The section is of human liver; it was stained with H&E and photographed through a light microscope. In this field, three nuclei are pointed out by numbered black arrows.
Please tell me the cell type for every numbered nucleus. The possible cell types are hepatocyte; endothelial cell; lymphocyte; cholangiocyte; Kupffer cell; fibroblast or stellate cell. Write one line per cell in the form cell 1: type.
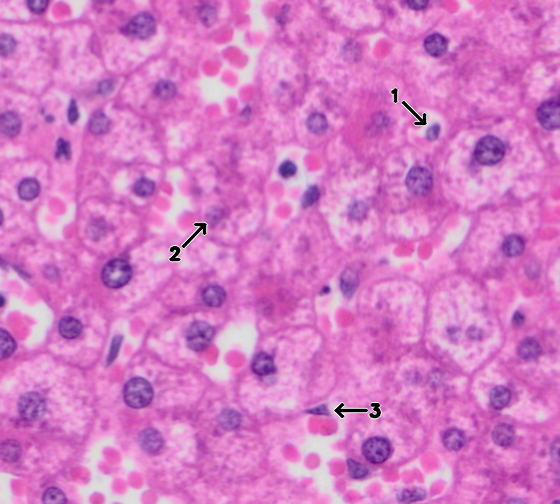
cell 1: lymphocyte
cell 2: hepatocyte
cell 3: endothelial cell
